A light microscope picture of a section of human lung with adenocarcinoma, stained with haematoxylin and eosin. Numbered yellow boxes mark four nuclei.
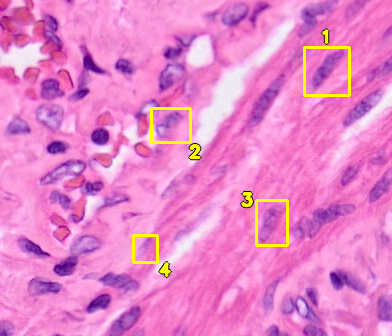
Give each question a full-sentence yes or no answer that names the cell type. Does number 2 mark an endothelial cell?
Yes, looking at number 2, that cell is an endothelial cell.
